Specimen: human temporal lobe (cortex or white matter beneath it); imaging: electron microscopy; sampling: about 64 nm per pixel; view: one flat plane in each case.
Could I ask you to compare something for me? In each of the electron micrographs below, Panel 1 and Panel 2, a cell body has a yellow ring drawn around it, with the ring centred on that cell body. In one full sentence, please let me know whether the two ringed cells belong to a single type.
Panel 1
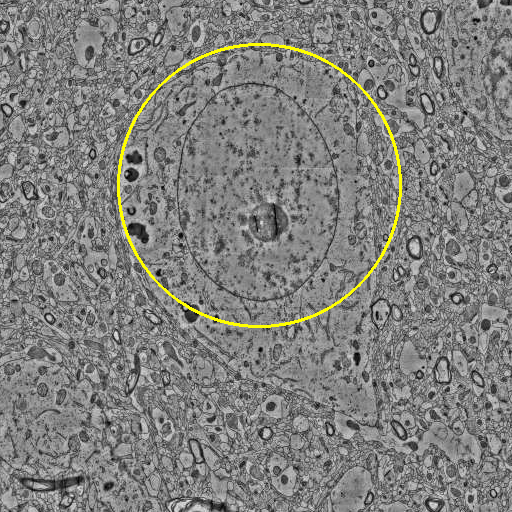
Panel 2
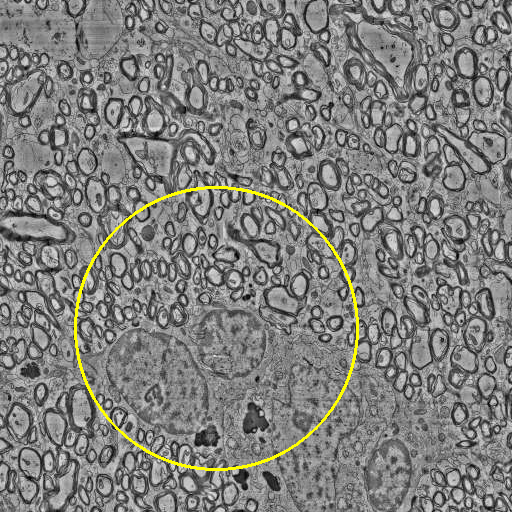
No, the two cells at the centres of the rings are of two types.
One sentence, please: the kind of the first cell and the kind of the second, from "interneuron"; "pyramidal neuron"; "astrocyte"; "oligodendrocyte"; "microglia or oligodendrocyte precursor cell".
The ring in the first picture surrounds a pyramidal neuron, and the ring in the second surrounds an oligodendrocyte.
